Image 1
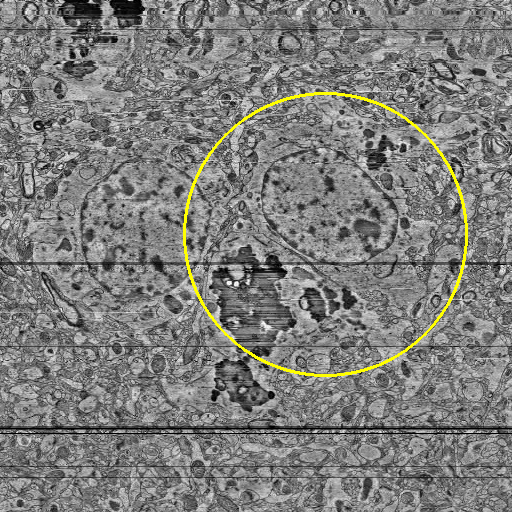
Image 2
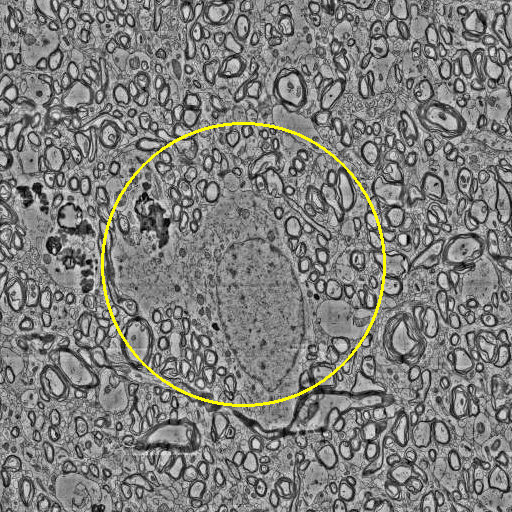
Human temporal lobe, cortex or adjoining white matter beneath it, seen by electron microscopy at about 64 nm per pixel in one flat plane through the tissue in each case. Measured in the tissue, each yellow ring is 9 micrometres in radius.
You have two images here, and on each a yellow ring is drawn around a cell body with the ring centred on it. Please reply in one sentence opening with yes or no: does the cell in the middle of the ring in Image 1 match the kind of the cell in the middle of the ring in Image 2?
Yes, the two images show cells of one kind at the centres of their rings.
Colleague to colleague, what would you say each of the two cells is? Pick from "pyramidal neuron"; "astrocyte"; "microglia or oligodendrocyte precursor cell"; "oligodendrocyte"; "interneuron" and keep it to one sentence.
The first and the second cell are each an astrocyte.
